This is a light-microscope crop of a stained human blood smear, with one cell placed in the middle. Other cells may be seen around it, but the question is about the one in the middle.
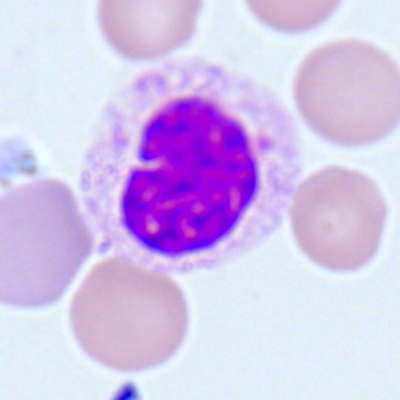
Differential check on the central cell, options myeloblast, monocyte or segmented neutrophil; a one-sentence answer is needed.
Framed in the middle of the crop is a segmented neutrophil.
